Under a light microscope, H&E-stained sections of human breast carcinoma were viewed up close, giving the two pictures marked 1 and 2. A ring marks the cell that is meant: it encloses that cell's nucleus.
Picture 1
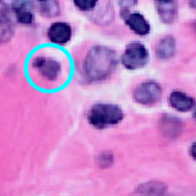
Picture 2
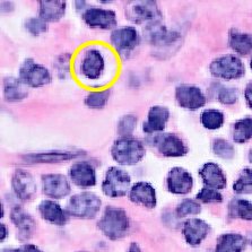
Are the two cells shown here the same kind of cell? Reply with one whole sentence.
Yes, the two pictures both show lymphocytes.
